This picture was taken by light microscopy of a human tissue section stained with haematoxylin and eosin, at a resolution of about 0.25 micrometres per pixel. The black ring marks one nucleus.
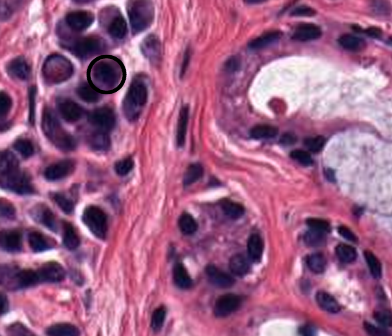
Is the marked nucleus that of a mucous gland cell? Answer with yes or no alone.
no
